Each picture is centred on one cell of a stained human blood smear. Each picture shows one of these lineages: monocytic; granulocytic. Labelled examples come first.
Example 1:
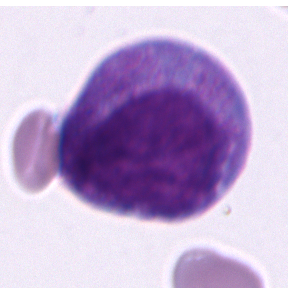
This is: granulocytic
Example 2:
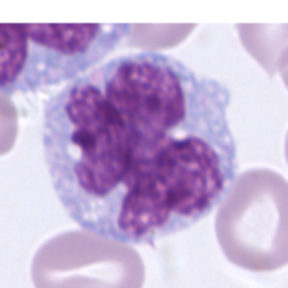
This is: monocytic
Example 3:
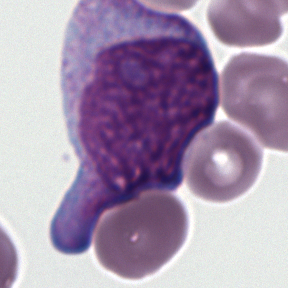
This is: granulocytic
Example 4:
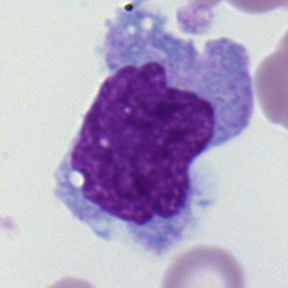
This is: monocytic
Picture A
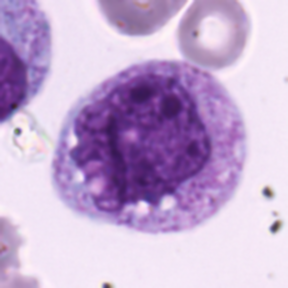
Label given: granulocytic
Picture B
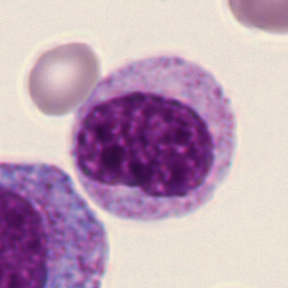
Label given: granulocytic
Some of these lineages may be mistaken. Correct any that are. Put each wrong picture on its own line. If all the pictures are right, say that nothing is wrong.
None of the labels needs changing.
